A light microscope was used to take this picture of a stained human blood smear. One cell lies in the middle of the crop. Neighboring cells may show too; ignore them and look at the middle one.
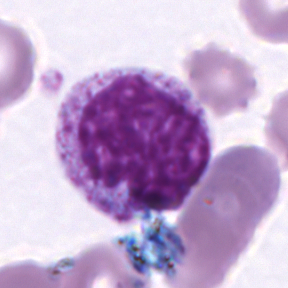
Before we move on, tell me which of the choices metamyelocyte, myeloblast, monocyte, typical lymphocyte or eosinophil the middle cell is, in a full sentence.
In the centre of this crop there is a metamyelocyte.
